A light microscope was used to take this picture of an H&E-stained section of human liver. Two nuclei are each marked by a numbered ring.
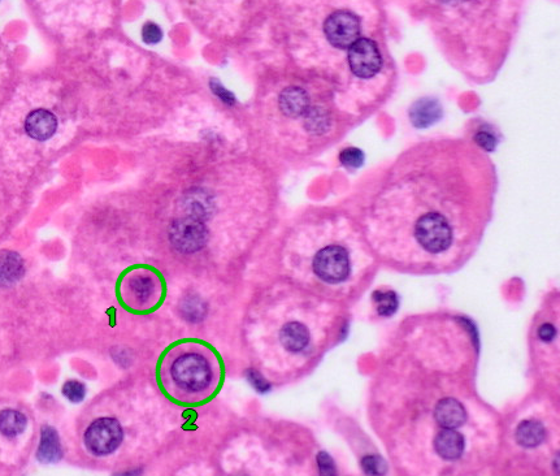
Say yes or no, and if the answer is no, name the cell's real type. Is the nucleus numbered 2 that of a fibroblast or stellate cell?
No, it is a hepatocyte.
